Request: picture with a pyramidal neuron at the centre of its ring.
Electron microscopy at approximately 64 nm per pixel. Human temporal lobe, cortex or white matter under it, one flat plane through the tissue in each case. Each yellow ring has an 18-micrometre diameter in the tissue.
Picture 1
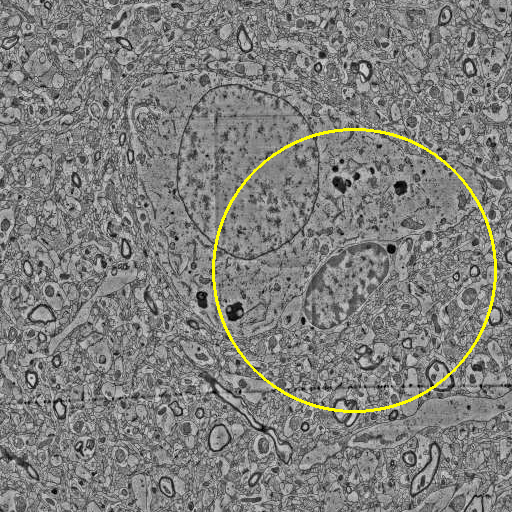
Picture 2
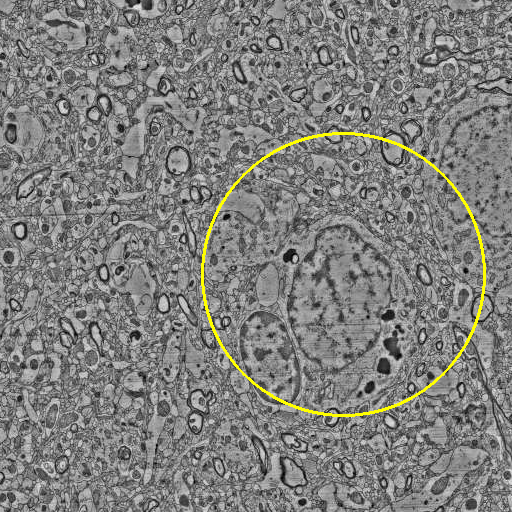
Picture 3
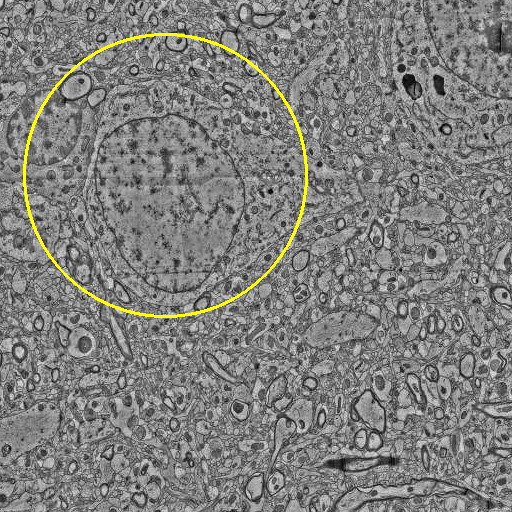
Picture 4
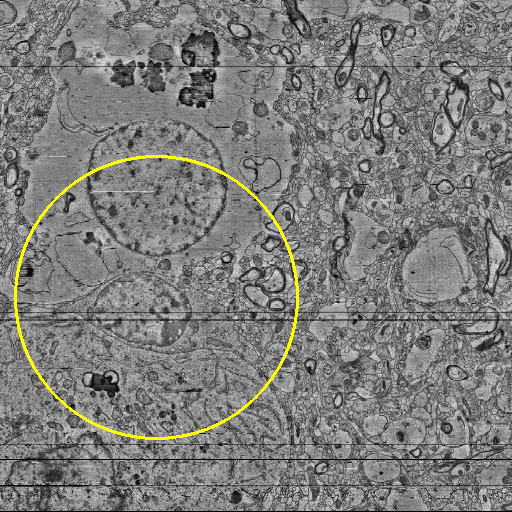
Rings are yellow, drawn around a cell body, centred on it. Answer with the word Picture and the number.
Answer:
Picture 3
